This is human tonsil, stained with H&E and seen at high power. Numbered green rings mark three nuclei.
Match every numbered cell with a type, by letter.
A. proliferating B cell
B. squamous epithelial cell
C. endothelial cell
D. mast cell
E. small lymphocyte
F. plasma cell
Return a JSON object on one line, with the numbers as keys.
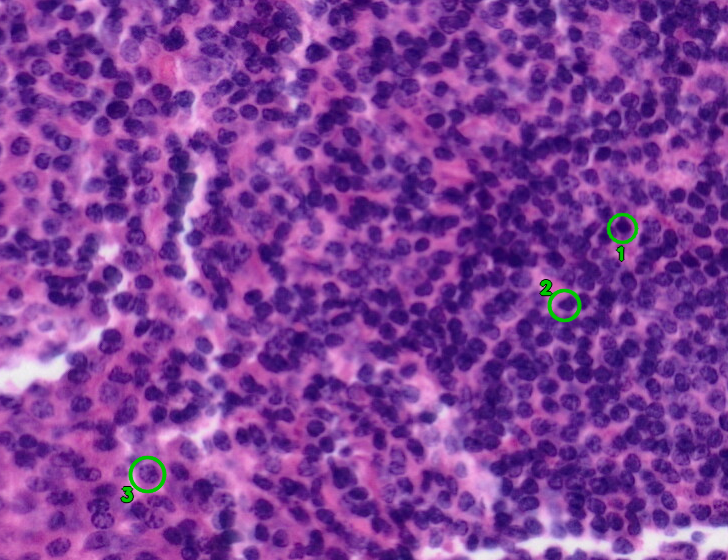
{"1": "E", "2": "E", "3": "F"}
